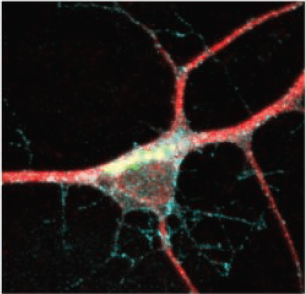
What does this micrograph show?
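A cultured neuron with a cell body at left of centre from which several thick red dendrites extend across the field and branch. A bright yellowish-white region sits within the cell body, where green and red overlap, marking a compact cluster beside the nucleus. The background is dark with no other cells bodies in view.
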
